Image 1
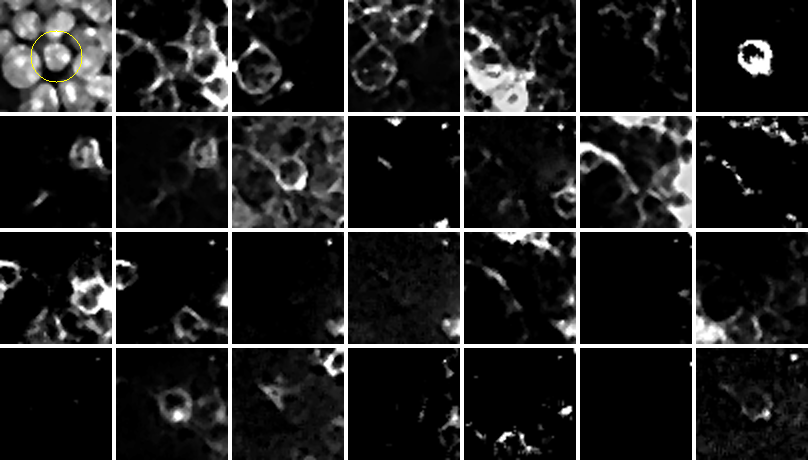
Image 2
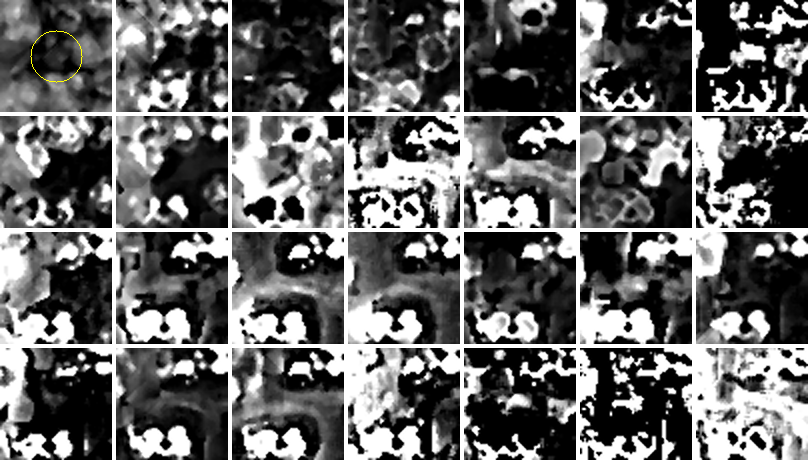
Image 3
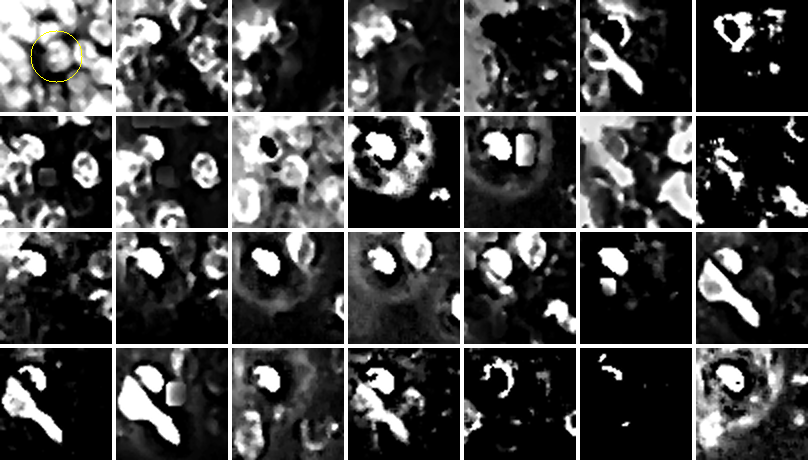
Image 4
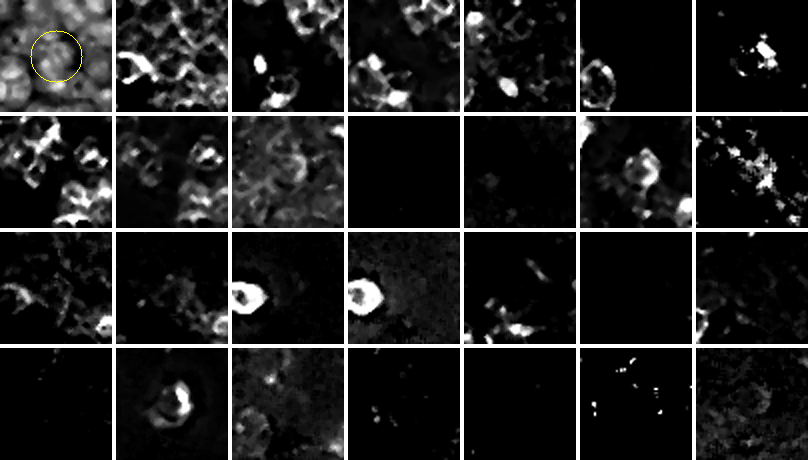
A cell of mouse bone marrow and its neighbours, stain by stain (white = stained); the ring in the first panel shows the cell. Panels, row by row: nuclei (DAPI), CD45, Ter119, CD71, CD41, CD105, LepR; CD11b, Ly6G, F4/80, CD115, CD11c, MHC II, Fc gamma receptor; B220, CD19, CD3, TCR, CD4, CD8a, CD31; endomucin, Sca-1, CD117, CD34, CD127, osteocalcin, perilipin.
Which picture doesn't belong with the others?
Picture 3.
